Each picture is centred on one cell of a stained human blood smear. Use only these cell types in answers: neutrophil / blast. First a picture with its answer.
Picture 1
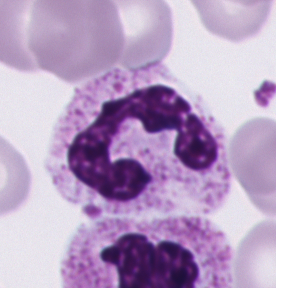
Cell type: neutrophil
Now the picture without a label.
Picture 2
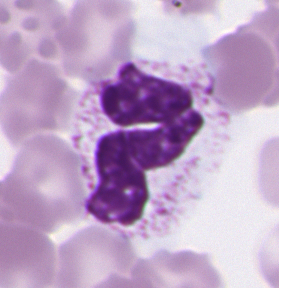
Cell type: neutrophil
